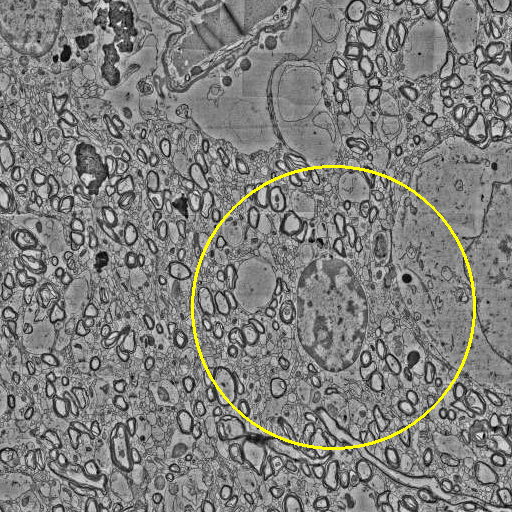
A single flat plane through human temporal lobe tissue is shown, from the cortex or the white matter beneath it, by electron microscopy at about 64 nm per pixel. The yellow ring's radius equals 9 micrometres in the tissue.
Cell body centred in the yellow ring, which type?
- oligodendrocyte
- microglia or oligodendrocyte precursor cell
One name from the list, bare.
microglia or oligodendrocyte precursor cell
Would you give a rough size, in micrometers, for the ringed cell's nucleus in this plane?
About 7 by 5 micrometers for the nucleus, in this plane.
